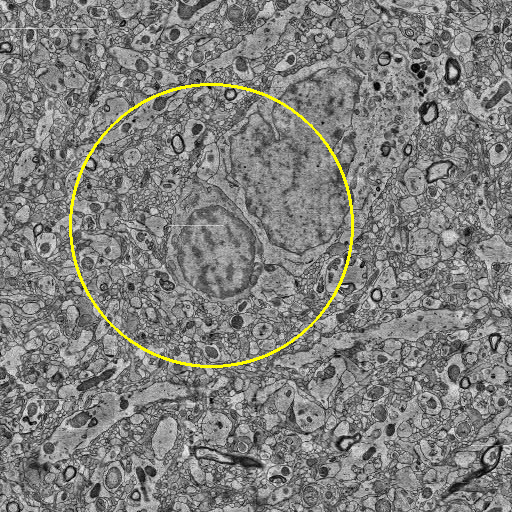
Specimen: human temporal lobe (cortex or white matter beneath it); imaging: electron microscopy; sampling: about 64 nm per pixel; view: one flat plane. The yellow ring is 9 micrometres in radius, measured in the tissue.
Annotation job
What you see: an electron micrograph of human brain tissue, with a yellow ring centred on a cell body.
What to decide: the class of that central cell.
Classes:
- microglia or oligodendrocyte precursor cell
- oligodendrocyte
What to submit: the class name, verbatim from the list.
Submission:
oligodendrocyte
